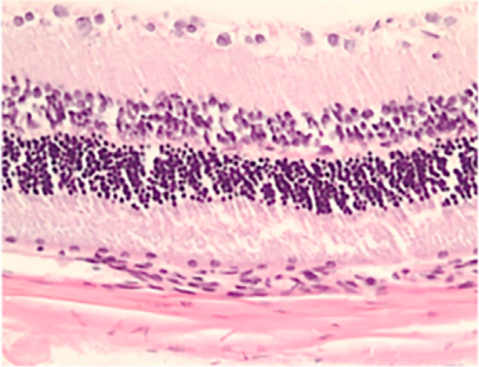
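This section of retina shows evenly layered bands. A single row of spaced, rounded ganglion cell nuclei lies along the inner surface above a wide pink inner plexiform layer. Beneath it the inner nuclear layer holds paler, looser nuclei, separated by a thin pink line from the thick, dark, densely packed outer nuclear layer. A pale striated photoreceptor layer lies deeper, with a row of flattened nuclei and pink connective tissue at the bottom.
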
